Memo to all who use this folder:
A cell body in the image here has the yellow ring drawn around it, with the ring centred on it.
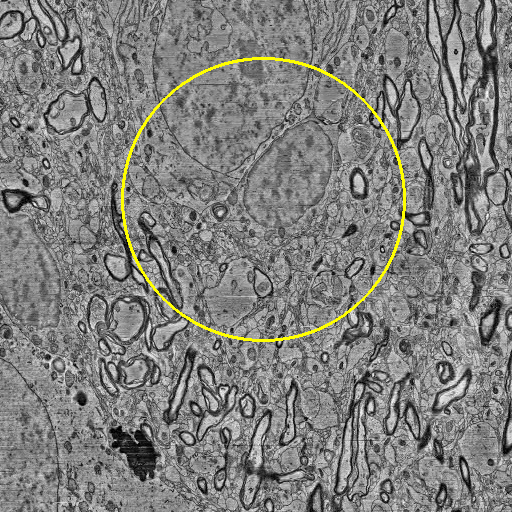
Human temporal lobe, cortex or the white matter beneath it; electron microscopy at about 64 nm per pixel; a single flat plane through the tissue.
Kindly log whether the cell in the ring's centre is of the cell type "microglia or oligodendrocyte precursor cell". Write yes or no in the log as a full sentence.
No, logged: the ring in this image is centred on a cell of a different type.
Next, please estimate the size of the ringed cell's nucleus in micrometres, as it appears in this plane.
The nucleus appears roughly 7 by 5 micrometres in this plane.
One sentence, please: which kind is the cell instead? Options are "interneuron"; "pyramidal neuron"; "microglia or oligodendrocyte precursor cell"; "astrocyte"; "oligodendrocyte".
Instead, the ring surrounds an oligodendrocyte in this picture.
